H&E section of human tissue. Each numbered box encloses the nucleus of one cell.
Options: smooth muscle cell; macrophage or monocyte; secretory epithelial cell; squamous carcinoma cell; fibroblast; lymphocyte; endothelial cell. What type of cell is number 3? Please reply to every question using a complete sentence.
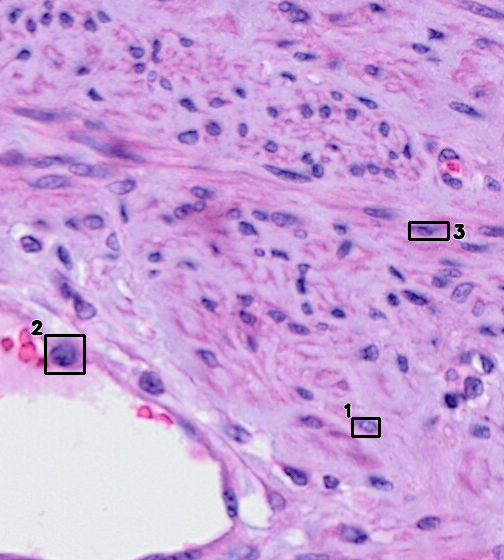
The nucleus with number 3 is that of a smooth muscle cell.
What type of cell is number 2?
The nucleus labelled 2 belongs to an endothelial cell.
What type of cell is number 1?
Corresponding to a smooth muscle cell is the cell labelled 1.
